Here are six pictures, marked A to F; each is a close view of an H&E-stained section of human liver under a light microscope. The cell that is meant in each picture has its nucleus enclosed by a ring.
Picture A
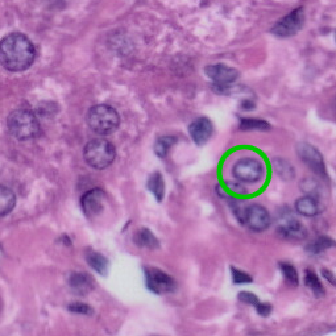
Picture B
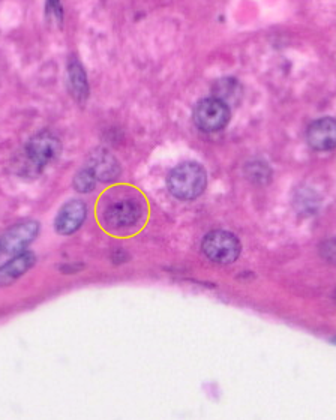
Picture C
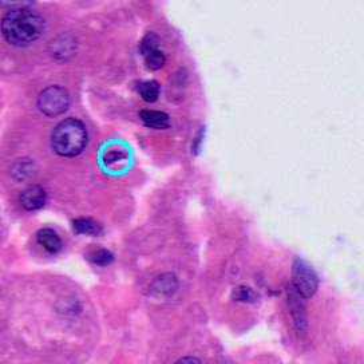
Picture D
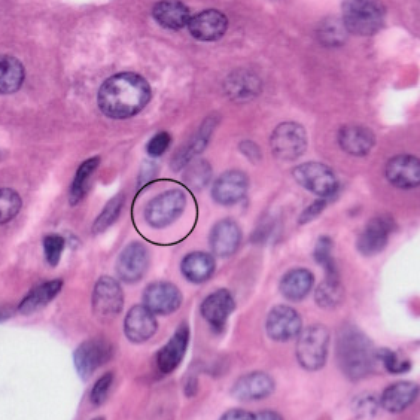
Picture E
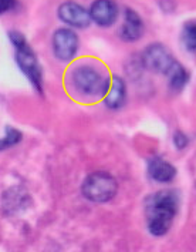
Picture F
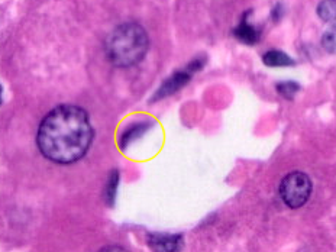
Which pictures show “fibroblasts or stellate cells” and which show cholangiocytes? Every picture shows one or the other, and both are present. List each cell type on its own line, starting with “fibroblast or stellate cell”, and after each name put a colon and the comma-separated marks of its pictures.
fibroblast or stellate cell: C, F
cholangiocyte: A, B, D, E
